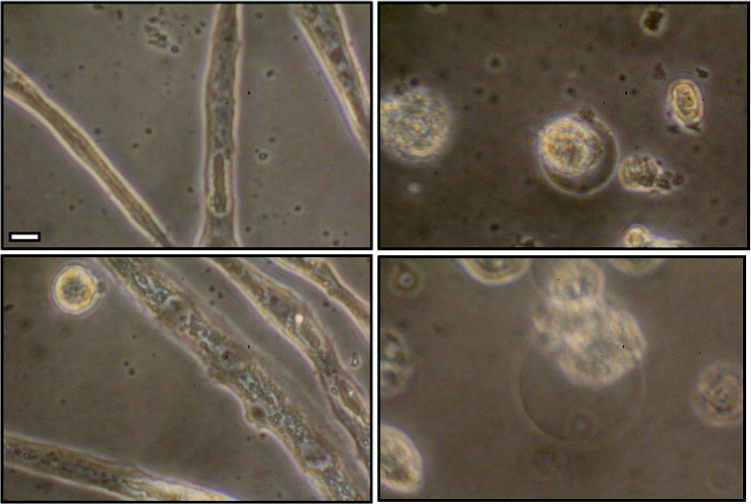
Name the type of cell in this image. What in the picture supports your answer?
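Long, narrow, unbranched tube-shaped cells run across the left-hand images. The tubes are many times longer than they are wide and lie roughly parallel. That points to this answer: myotubes.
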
